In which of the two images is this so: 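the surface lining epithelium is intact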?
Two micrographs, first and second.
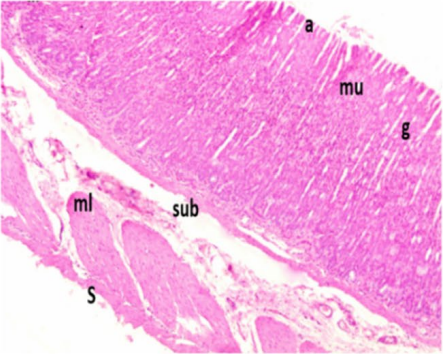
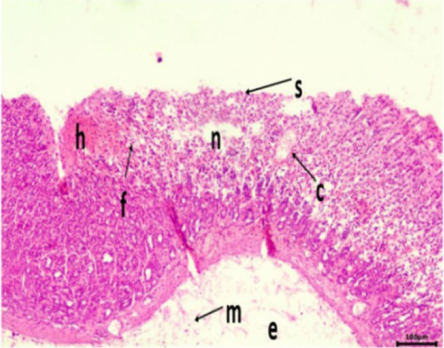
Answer: The first image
